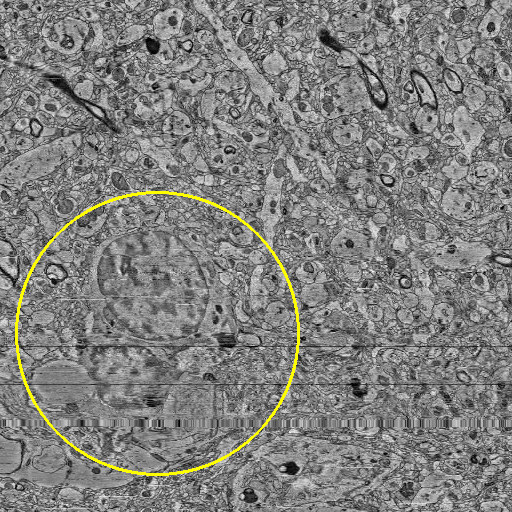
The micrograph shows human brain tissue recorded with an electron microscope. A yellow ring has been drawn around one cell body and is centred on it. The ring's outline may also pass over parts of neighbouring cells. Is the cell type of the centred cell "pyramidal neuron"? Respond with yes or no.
no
